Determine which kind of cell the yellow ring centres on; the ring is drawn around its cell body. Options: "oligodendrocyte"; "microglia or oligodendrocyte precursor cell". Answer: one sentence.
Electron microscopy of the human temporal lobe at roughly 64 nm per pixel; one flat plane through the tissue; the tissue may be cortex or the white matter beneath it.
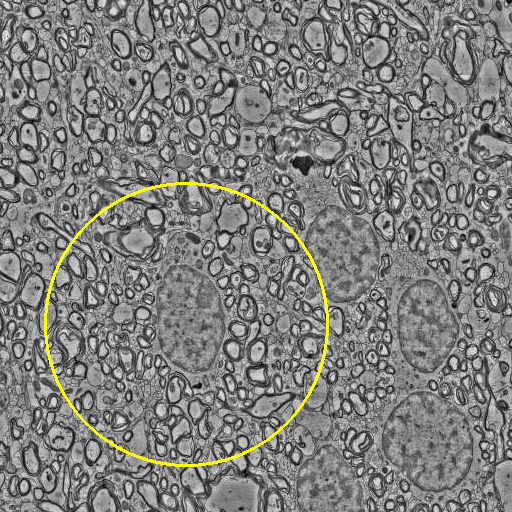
The ring centres on an oligodendrocyte.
